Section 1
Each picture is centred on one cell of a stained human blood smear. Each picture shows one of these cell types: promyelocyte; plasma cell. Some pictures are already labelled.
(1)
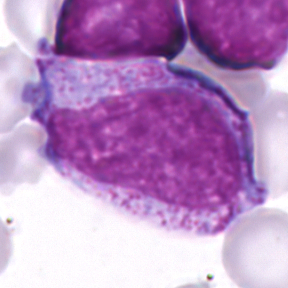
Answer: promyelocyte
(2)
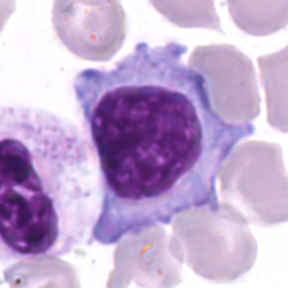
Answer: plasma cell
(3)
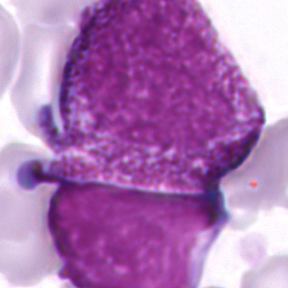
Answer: promyelocyte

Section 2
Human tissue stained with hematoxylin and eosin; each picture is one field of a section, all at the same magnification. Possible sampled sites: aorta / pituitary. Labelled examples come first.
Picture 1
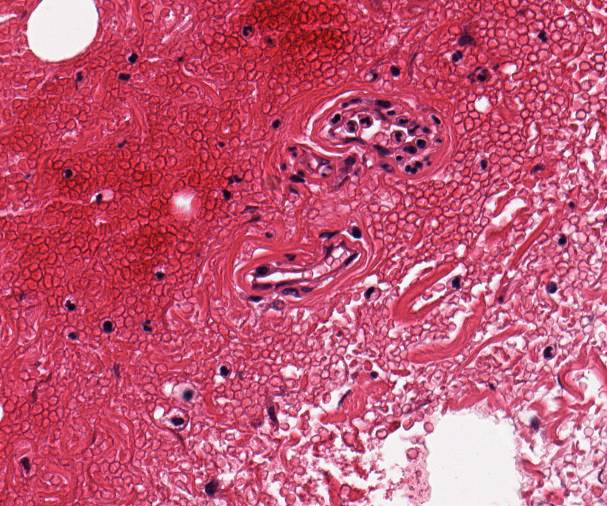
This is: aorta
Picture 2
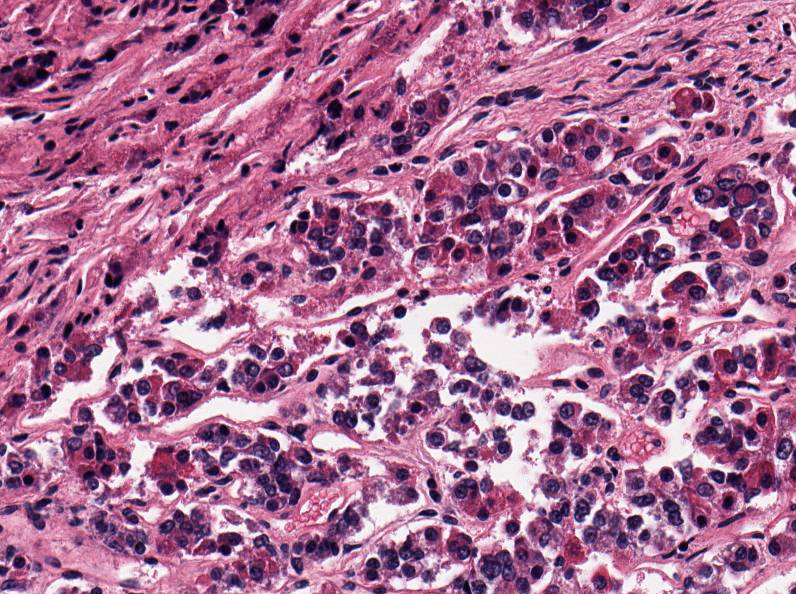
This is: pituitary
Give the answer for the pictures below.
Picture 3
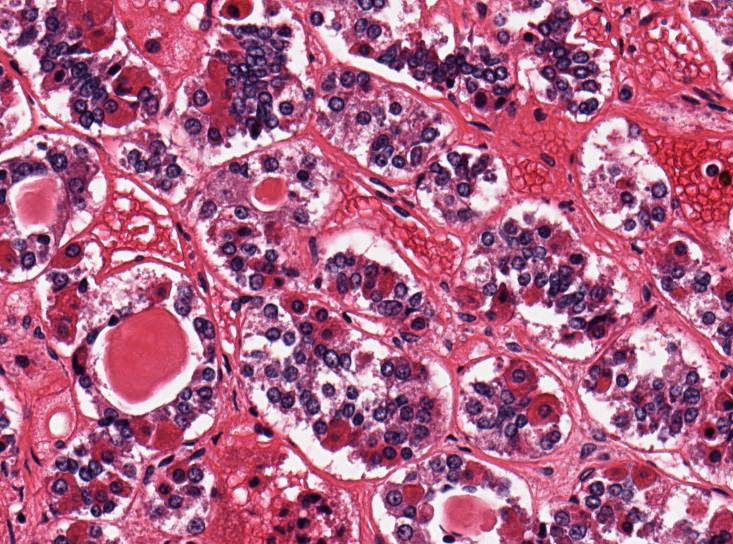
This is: pituitary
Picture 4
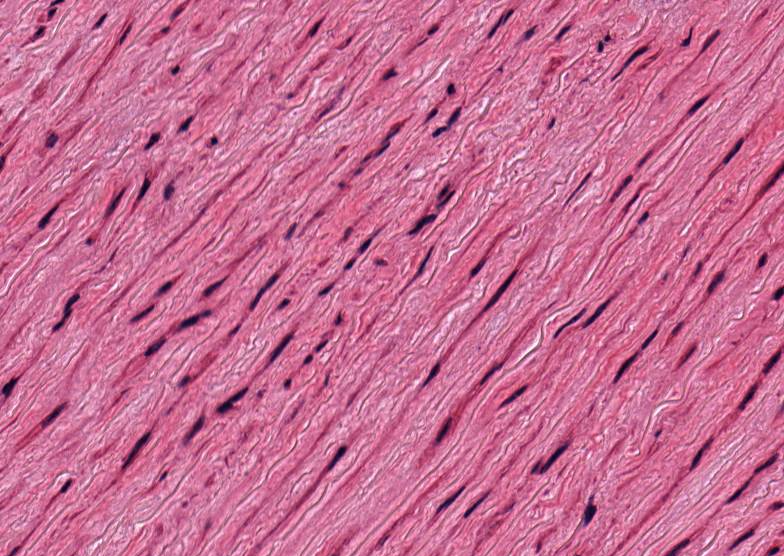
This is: aorta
